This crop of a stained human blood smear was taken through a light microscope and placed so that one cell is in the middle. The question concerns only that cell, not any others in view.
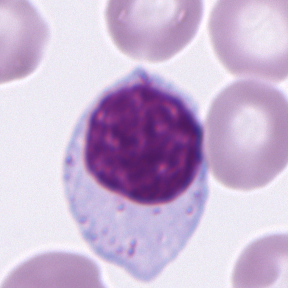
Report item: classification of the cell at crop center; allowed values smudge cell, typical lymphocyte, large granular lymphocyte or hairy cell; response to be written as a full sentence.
Here the centrally located cell is a large granular lymphocyte.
